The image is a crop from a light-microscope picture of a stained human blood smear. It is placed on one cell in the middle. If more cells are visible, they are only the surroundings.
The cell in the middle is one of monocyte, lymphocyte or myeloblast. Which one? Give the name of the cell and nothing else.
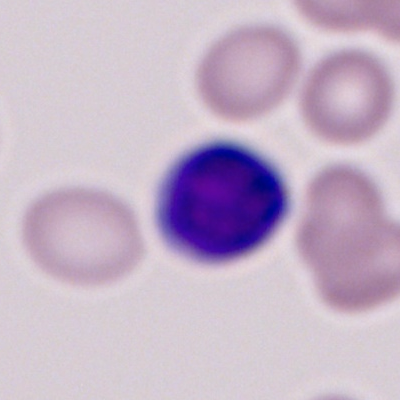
lymphocyte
